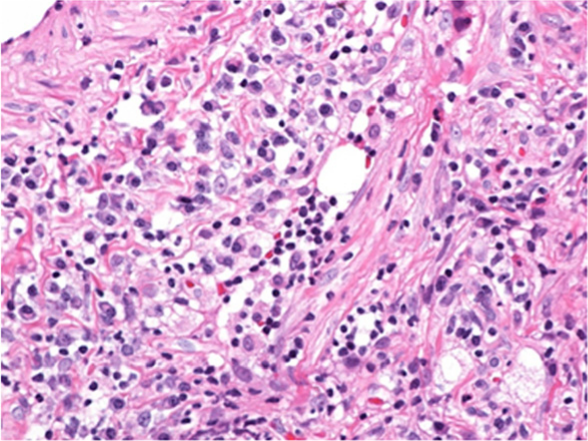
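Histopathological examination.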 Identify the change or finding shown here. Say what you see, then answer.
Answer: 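Inflammatory cell infiltration. Many small round cells with dark nuclei are crowded throughout the tissue. The cells lie between strands of pink connective tissue.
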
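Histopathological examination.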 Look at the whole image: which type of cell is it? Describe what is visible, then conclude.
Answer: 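Plasma cells, macrophages and lymphocytes. Small round cells with dense dark nuclei and scant cytoplasm. Oval cells with off-centre nuclei and pink-purple cytoplasm. Larger cells with pale, vacuolated cytoplasm.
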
